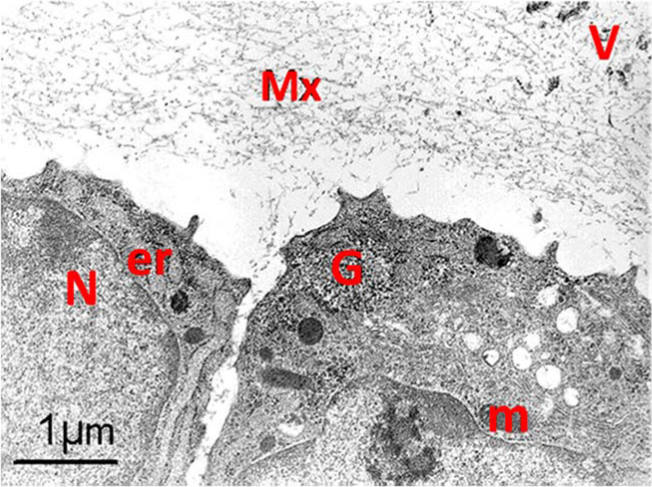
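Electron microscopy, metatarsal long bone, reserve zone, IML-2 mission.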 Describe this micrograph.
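This transmission electron micrograph shows parts of two adjacent chondrocytes at the edge of the cartilage matrix, separated by a narrow cleft. Their surfaces facing the matrix are irregular, with short pointed projections. One cell shows a large nucleus with finely granular chromatin, flanked by a thin rim of cytoplasm with membranes of endoplasmic reticulum. The neighbouring cell contains a dark granular region of glycogen, several round dense bodies, mitochondria and a cluster of small clear vacuoles. Above the cells the extracellular matrix is pale and loose, made of sparse fine filaments, with small dense vesicles near its upper edge.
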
